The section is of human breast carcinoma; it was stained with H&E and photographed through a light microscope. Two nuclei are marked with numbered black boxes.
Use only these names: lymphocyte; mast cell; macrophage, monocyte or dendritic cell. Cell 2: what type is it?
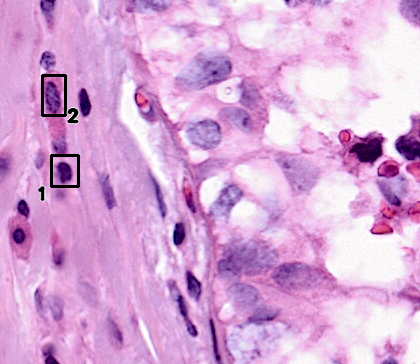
mast cell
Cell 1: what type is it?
lymphocyte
